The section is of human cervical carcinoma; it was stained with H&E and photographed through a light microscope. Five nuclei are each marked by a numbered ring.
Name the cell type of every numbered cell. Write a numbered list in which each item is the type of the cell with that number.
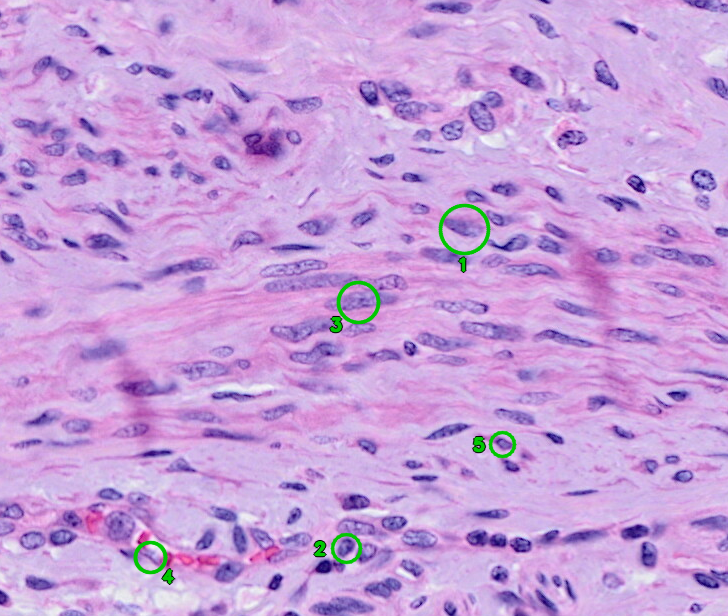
1. smooth muscle cell
2. lymphocyte
3. smooth muscle cell
4. endothelial cell
5. smooth muscle cell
